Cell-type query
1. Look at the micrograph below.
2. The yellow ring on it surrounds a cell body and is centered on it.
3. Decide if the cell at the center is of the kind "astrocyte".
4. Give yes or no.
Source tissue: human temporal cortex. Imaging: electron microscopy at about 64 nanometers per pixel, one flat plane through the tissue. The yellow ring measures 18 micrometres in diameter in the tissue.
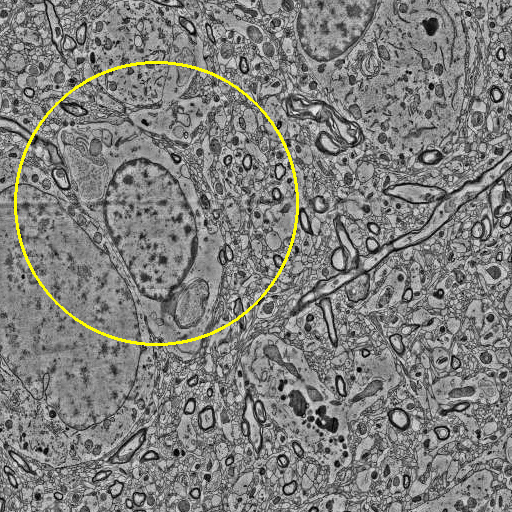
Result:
yes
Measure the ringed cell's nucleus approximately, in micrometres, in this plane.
Clearly longer than it is wide in this plane, the nucleus measures roughly 9 by 6 micrometres.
